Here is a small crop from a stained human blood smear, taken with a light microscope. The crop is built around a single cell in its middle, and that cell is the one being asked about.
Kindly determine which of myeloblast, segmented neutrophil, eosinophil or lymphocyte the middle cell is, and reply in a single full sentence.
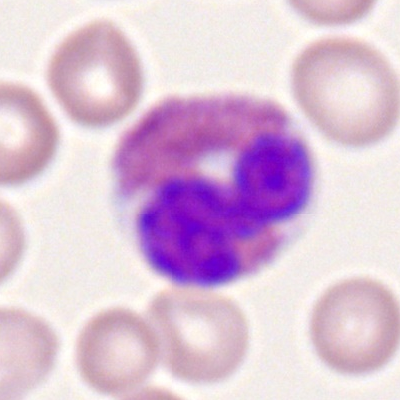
In the centre of this crop there is an eosinophil.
